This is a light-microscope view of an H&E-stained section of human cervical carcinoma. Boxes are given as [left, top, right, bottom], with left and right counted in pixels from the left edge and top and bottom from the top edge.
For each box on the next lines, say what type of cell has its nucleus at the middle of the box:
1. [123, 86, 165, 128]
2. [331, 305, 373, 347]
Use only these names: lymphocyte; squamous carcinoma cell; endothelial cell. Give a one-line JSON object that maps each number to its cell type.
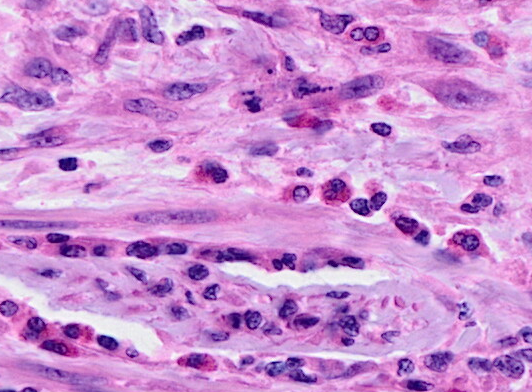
{"1": "endothelial cell", "2": "lymphocyte"}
